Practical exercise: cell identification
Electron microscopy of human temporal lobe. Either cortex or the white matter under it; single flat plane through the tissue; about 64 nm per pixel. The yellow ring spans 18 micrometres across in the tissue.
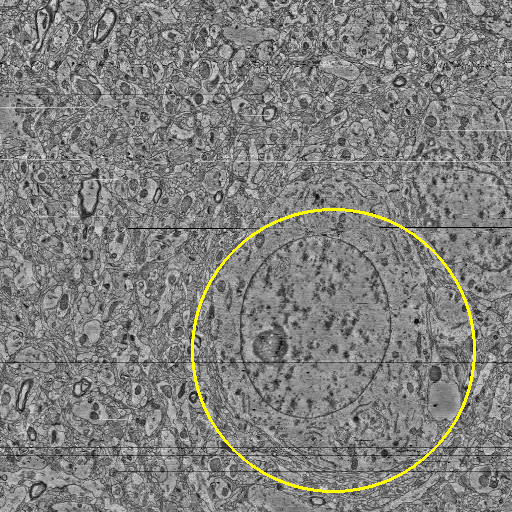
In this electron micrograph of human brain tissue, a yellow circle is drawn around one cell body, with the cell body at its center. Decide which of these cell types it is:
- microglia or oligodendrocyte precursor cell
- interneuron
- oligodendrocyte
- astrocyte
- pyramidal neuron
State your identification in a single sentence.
The ringed cell is a pyramidal neuron.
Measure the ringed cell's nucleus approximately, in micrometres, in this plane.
Approximately 12 x 10 micrometres in this plane.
